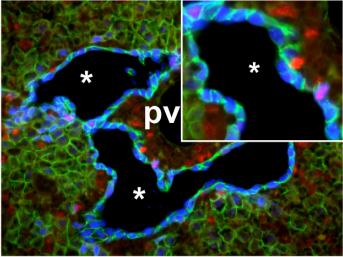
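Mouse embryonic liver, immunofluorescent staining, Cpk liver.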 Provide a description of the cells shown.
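The cysts are irregular, empty and partly wrap around a vessel. The surrounding parenchyma consists of polygonal cells outlined in green, with scattered red nuclei. Few red nuclei are seen in the cells lining the cysts.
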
